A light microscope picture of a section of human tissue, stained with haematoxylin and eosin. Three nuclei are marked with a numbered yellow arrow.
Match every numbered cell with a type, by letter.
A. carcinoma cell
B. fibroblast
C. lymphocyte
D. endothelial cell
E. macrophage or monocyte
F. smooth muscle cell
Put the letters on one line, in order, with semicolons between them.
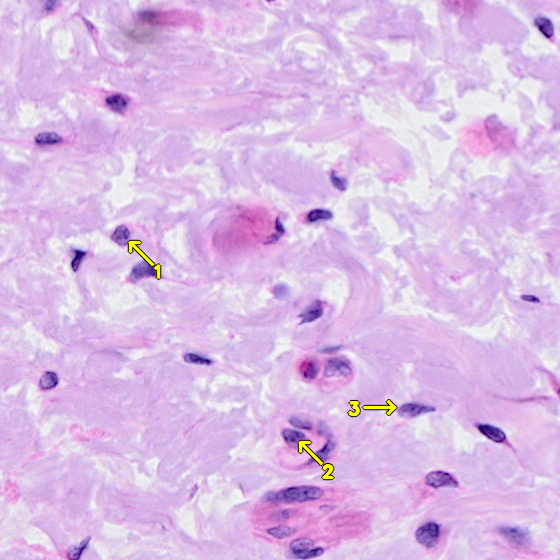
C; D; B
